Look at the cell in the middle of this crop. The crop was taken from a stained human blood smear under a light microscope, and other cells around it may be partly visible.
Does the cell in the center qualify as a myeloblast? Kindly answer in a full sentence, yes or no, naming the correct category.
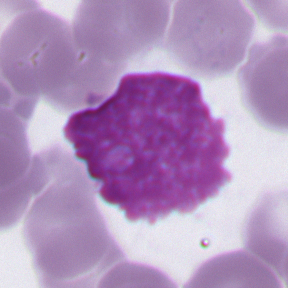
No, the central cell here is a smudge cell; calling it a myeloblast is not right.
